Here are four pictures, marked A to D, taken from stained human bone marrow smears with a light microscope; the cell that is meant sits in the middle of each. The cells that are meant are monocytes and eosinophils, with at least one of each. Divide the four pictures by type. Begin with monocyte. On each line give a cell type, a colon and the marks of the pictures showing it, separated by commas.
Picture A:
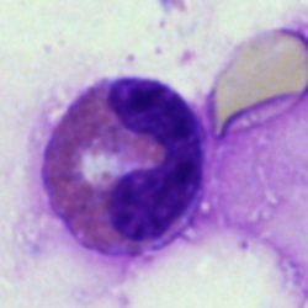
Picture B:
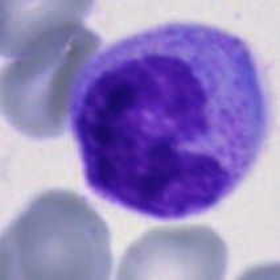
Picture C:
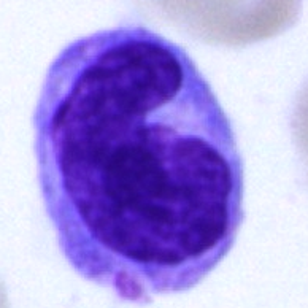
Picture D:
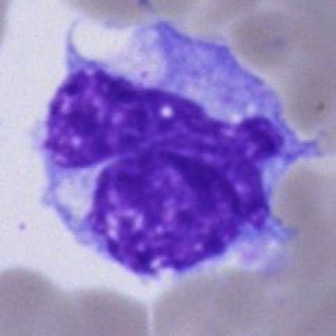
monocyte: B, C, D
eosinophil: A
